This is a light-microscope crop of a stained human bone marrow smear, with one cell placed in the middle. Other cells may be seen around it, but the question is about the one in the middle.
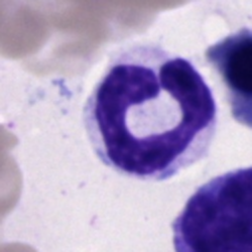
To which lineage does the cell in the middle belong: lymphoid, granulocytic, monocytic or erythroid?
granulocytic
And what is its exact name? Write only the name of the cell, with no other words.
band neutrophil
